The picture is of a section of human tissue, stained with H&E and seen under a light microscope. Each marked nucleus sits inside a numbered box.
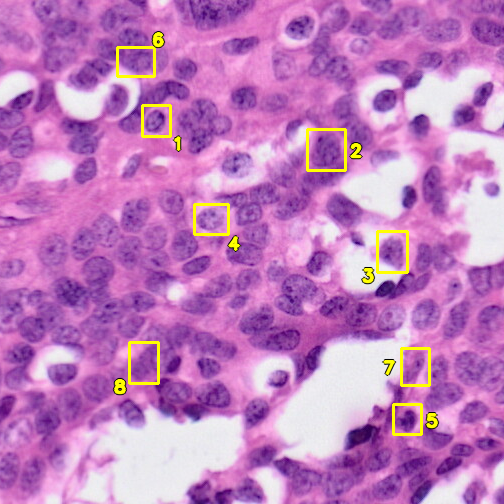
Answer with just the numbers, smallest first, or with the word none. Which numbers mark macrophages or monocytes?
1, 3, 4, 5, 7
